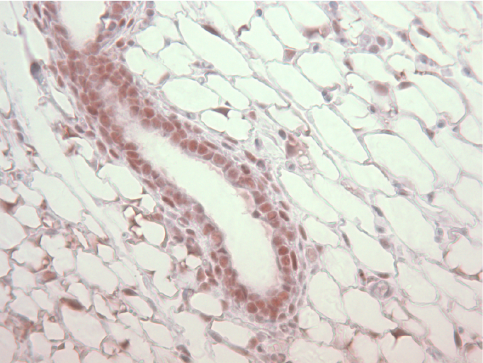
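This is a mammary duct cut lengthwise as it runs through an adipose stroma. The cytoplasm of these cells is scant and only lightly coloured. Around the duct lie many large adipocytes, appearing as empty polygonal spaces with thin walls and occasional flattened peripheral nuclei. Scattered stromal cells with small elongated nuclei lie between the adipocytes and close to the duct.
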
